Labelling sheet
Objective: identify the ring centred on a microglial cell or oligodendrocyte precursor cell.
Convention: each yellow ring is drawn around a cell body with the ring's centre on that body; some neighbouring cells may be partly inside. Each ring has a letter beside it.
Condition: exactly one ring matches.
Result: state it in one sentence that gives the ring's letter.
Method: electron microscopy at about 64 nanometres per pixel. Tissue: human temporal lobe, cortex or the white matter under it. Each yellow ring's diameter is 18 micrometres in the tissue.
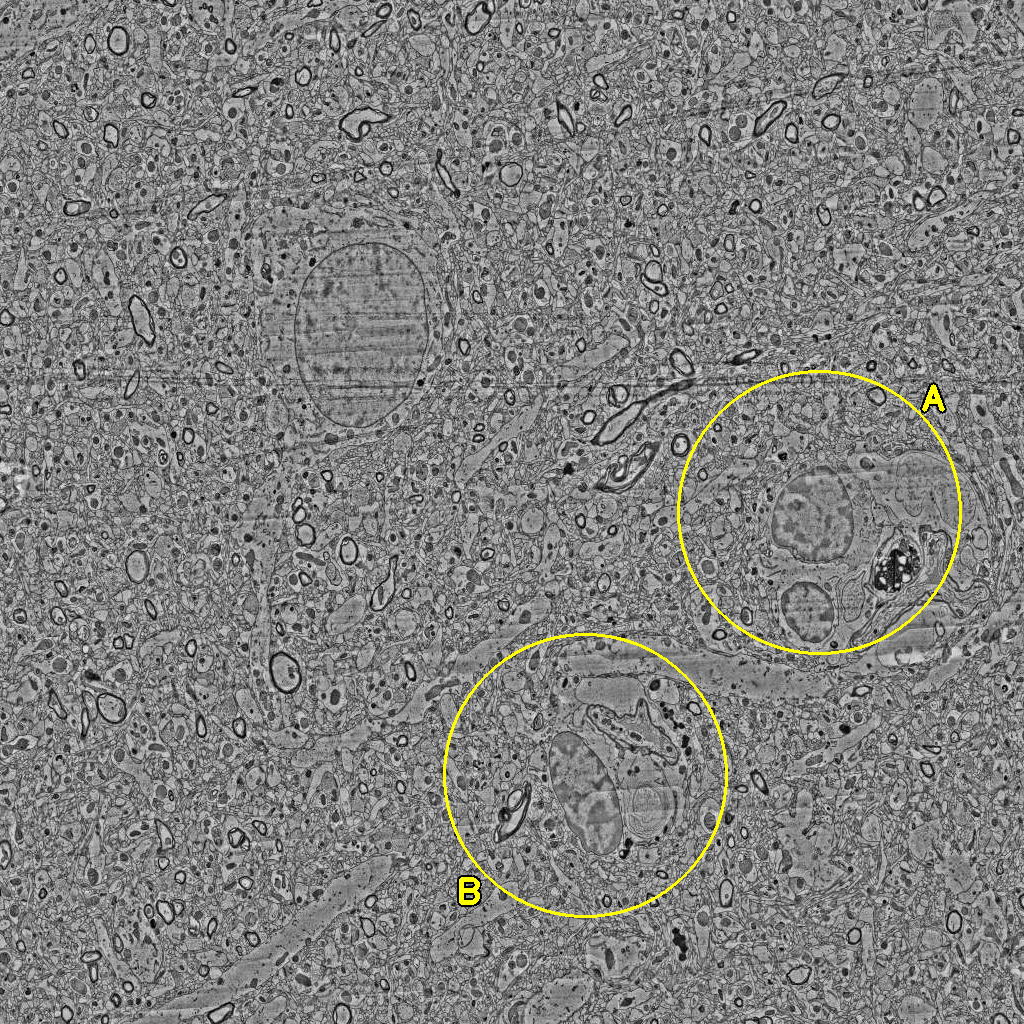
It lies at the centre of ring B.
